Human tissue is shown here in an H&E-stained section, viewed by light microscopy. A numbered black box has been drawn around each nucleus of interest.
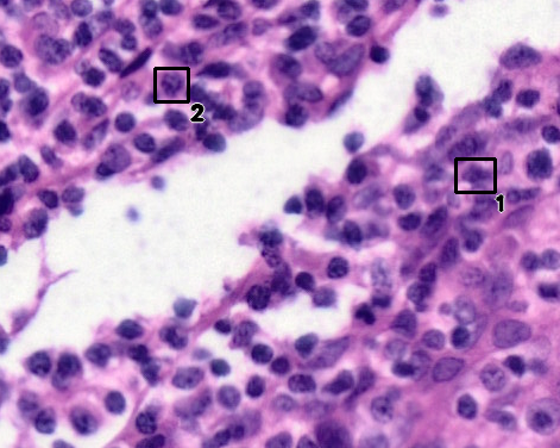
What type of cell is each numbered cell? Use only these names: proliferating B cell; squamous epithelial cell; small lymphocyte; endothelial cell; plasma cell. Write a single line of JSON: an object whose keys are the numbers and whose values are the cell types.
{"1": "squamous epithelial cell", "2": "plasma cell"}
